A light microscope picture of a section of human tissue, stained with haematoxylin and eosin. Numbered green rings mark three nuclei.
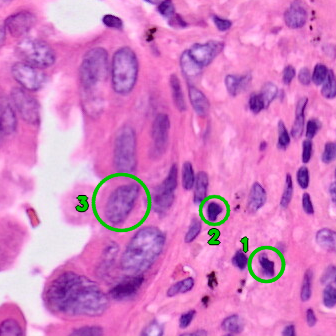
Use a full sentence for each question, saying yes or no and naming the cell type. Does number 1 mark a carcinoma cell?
No, the cell labelled number 1 is not a carcinoma cell; it is a lymphocyte.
